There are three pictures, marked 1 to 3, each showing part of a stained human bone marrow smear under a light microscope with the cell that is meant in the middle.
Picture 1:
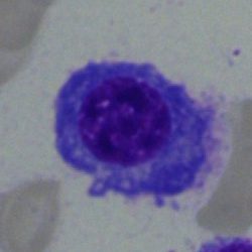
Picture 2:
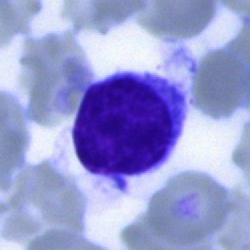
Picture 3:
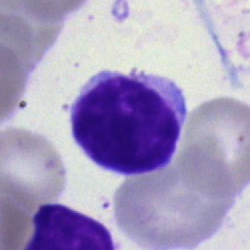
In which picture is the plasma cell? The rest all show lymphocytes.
1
